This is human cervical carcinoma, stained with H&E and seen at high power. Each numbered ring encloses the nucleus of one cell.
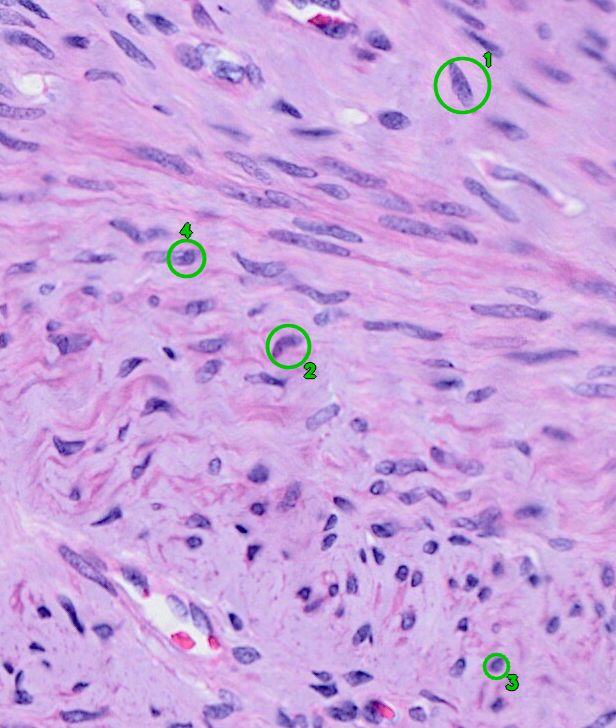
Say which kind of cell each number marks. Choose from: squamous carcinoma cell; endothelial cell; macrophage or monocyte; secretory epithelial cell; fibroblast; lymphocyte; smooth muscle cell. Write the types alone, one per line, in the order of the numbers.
fibroblast
smooth muscle cell
smooth muscle cell
smooth muscle cell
